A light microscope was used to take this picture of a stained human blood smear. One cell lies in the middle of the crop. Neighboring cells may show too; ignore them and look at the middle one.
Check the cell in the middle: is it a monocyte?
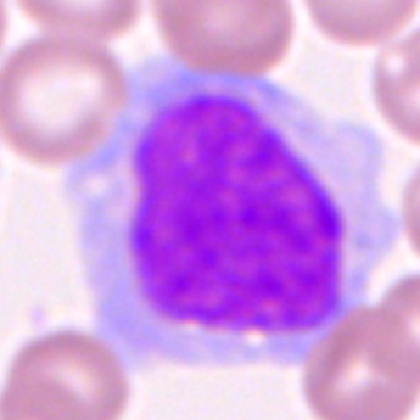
yes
